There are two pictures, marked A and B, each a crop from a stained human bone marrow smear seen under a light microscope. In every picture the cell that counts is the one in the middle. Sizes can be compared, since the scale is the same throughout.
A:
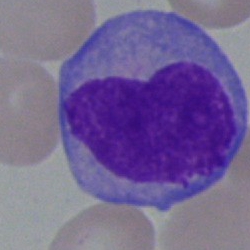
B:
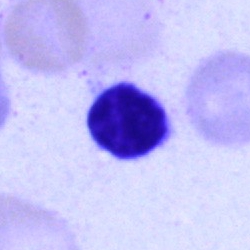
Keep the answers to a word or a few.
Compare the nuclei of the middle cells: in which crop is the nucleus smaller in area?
B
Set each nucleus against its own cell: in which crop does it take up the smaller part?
A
